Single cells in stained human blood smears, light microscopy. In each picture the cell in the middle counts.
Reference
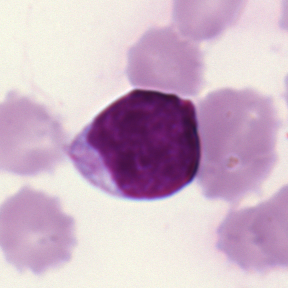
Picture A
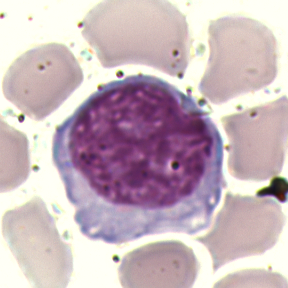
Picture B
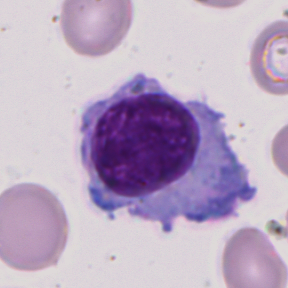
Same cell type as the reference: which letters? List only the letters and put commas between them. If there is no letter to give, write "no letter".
no letter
